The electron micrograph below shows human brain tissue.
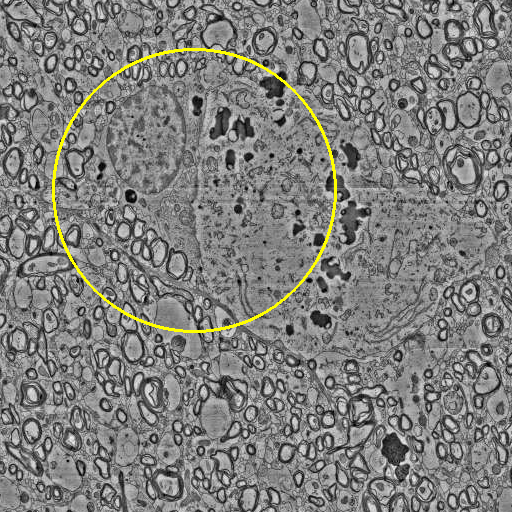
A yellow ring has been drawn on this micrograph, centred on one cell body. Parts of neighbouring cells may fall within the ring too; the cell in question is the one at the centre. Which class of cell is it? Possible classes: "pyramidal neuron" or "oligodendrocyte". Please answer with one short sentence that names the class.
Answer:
In the centre of the ring sits an oligodendrocyte.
